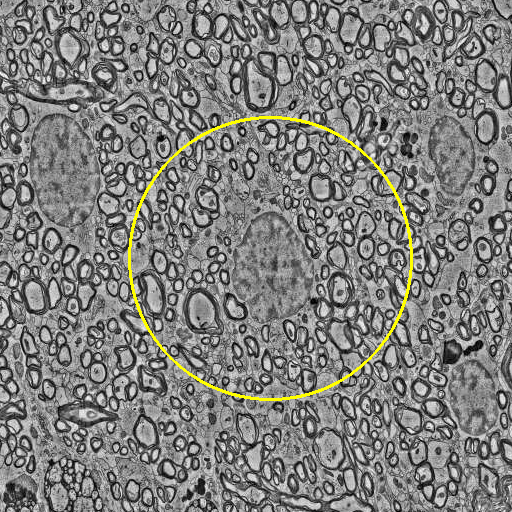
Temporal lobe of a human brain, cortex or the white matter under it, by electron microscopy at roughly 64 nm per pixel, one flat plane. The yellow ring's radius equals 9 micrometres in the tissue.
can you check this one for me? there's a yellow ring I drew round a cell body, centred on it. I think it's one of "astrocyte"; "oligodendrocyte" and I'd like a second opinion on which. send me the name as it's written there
oligodendrocyte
